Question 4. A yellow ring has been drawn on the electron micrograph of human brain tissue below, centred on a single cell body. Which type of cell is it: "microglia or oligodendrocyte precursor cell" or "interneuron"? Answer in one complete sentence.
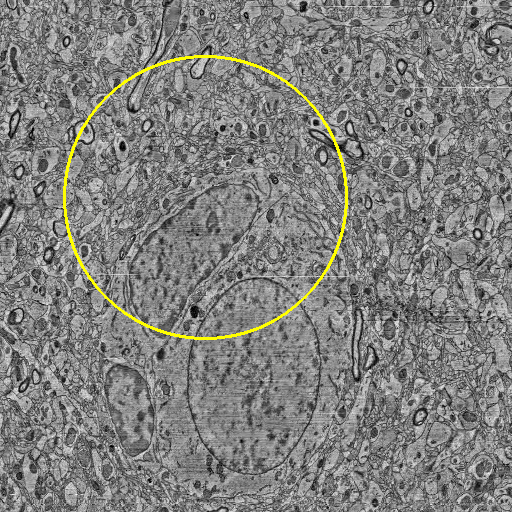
This cell body belongs to a microglial cell or oligodendrocyte precursor cell.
